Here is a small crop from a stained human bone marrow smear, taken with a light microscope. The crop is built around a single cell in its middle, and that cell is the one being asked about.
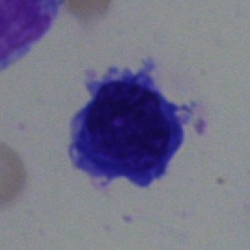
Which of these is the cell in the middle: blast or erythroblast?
erythroblast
